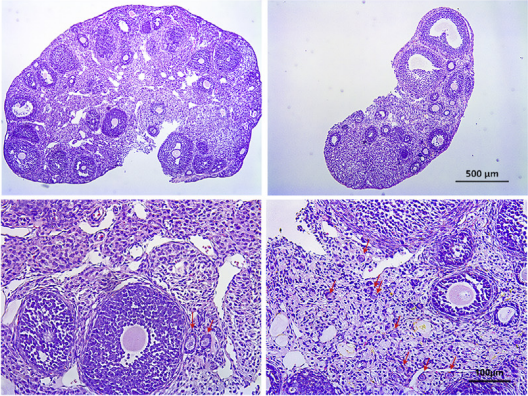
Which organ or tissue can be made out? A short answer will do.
Ovaries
